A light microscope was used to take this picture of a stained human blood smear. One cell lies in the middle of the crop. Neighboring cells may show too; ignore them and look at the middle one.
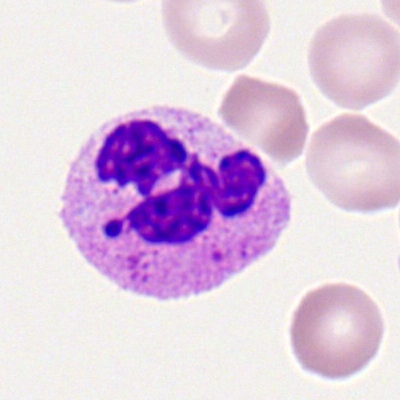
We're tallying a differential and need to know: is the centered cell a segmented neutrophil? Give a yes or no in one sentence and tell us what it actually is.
Yes, the cell that is in the middle is a segmented neutrophil.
